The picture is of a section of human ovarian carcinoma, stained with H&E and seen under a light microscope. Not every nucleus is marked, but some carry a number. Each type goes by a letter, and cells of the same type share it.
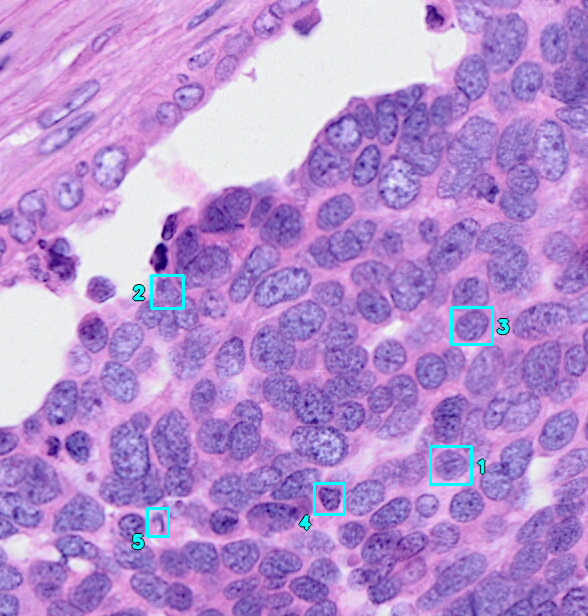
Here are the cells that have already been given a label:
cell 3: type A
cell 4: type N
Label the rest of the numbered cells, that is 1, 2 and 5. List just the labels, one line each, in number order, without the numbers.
type A
type A
type N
